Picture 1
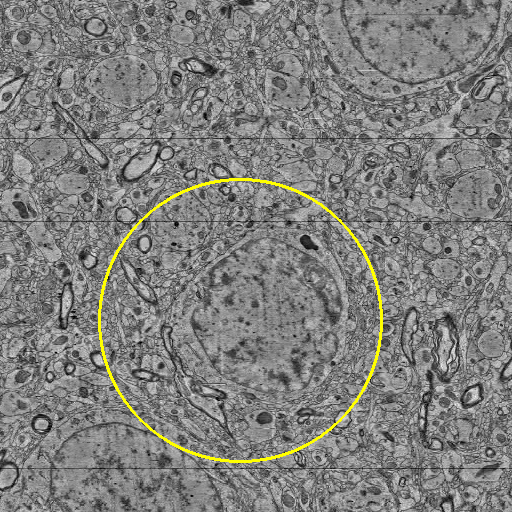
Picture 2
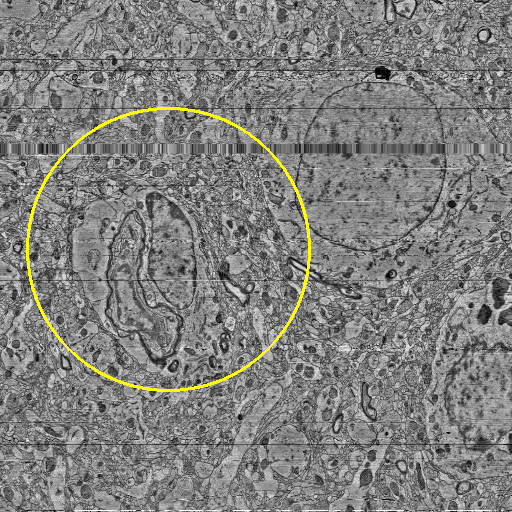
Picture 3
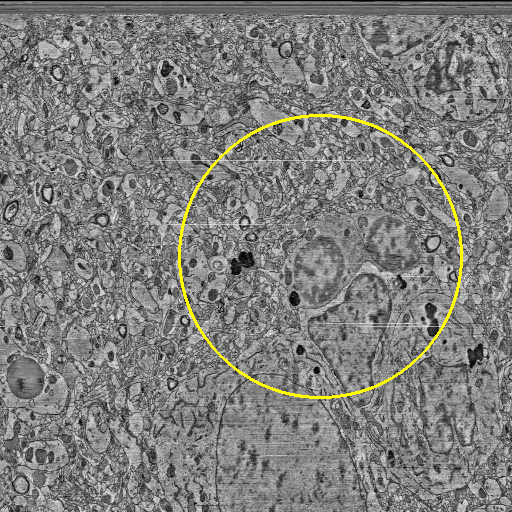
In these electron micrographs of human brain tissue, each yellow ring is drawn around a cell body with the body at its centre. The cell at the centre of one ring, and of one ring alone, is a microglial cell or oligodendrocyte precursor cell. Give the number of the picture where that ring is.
2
